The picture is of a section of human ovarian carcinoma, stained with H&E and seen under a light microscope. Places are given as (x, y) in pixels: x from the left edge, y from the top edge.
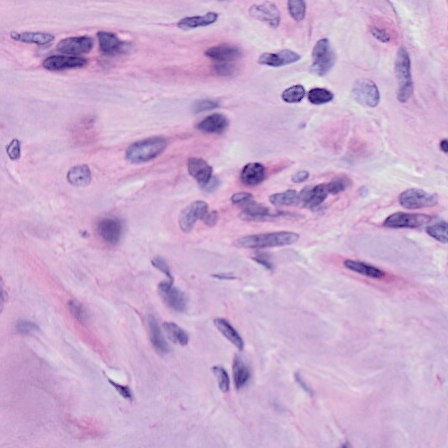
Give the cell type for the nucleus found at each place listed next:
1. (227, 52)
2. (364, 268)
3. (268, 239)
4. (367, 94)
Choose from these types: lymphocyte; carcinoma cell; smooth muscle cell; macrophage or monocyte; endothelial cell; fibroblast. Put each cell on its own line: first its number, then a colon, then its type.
1: endothelial cell
2: smooth muscle cell
3: smooth muscle cell
4: fibroblast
